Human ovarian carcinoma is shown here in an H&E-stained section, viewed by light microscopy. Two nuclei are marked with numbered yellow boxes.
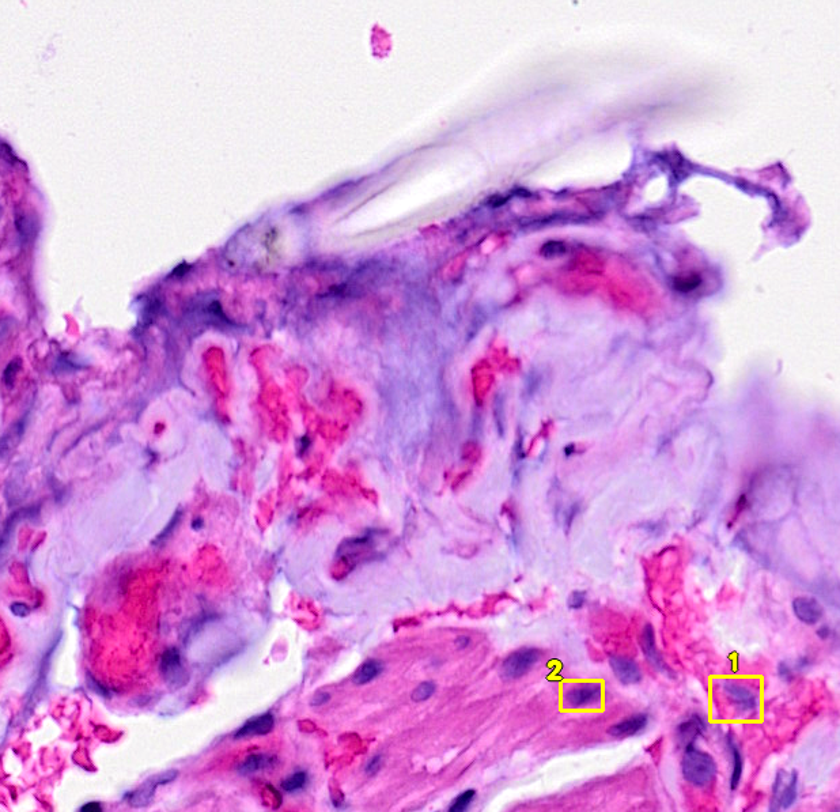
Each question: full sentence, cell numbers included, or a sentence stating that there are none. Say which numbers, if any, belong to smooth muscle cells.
The numbered cell that is a smooth muscle cell is cell 2, and it is the only one.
